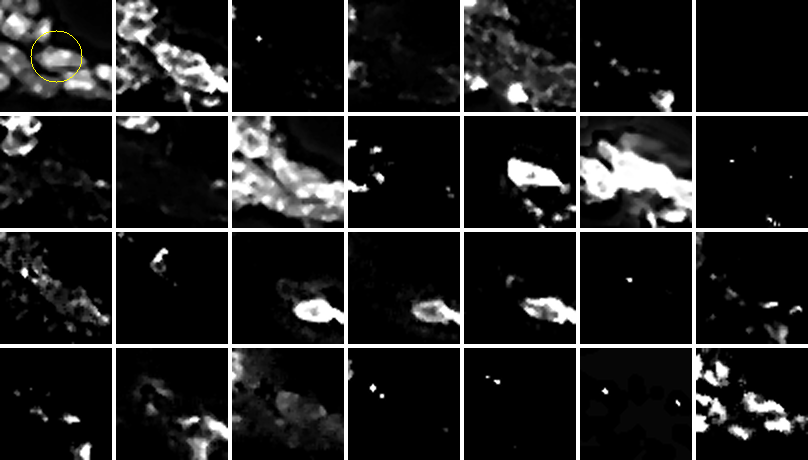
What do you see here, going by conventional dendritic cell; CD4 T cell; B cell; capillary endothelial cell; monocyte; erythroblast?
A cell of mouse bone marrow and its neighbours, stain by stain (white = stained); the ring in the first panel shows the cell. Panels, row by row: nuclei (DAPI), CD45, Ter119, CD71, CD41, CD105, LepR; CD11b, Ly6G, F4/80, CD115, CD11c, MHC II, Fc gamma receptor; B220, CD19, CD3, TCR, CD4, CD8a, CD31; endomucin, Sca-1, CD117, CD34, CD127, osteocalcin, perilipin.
I see a conventional dendritic cell.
